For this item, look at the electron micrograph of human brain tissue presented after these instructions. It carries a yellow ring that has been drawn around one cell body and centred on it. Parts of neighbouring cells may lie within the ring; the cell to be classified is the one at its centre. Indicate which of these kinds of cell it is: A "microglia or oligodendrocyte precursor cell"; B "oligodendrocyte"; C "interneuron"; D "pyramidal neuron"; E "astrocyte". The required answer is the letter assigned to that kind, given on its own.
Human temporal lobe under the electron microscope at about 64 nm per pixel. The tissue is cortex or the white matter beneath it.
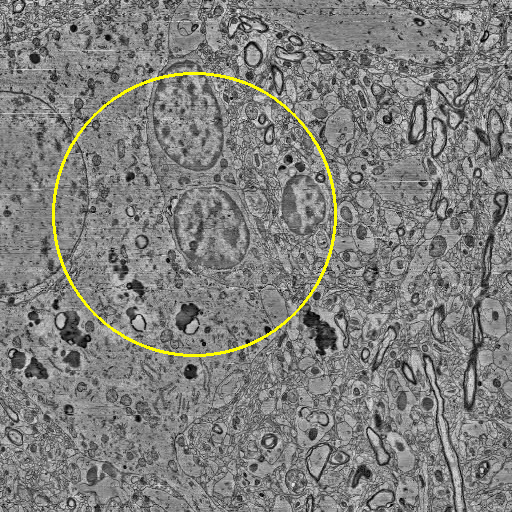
B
